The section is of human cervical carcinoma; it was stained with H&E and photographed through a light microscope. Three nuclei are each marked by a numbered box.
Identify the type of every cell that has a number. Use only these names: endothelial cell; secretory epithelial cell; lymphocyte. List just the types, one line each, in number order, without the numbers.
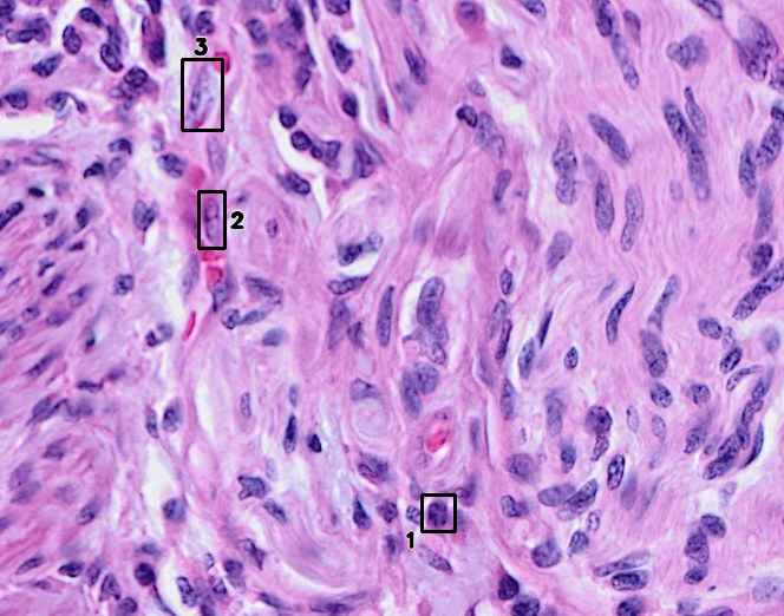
lymphocyte
endothelial cell
endothelial cell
